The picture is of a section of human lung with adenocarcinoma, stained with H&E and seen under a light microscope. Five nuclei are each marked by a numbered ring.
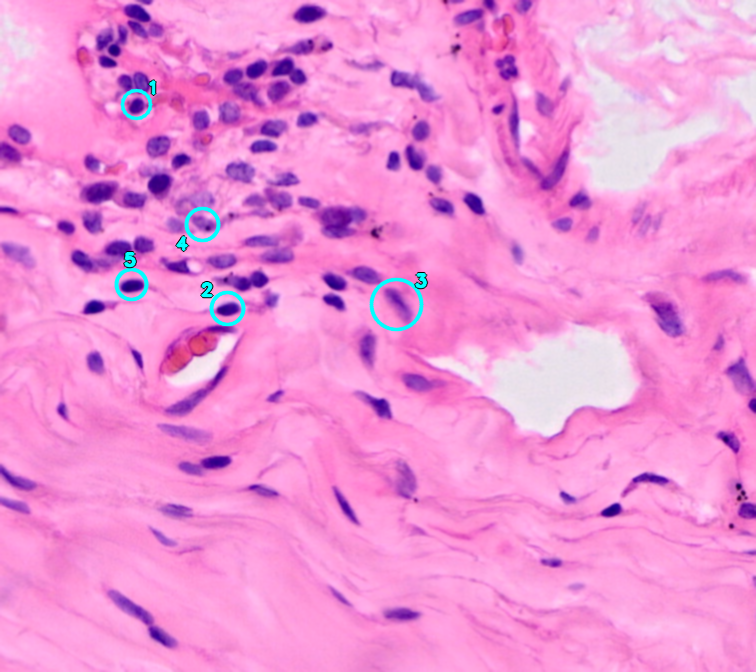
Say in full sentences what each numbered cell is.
Cell 1 is a lymphocyte, cell 2 is a lymphocyte, cell 3 is a fibroblast, cell 4 is a plasma cell and cell 5 is a lymphocyte.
